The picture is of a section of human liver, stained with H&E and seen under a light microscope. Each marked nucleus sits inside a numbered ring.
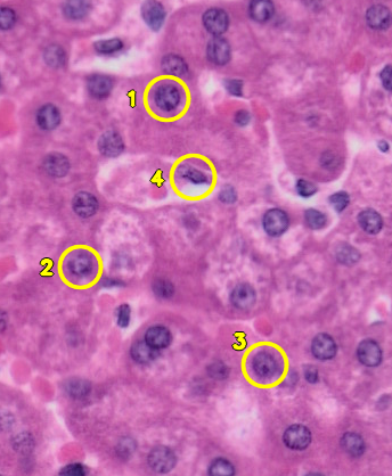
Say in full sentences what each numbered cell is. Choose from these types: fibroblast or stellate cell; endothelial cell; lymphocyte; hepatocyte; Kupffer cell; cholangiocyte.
Cell 1 is a hepatocyte, cell 2 is a hepatocyte, cell 3 is a hepatocyte and cell 4 is a Kupffer cell.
